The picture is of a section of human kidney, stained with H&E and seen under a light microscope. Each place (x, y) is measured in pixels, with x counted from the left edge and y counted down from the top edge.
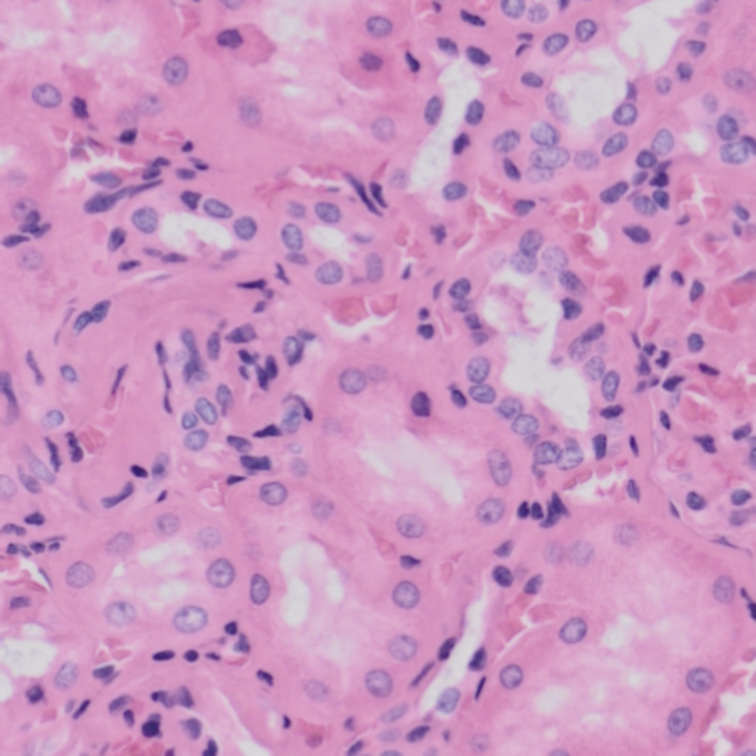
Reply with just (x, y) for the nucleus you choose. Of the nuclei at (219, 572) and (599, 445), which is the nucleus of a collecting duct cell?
(599, 445)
